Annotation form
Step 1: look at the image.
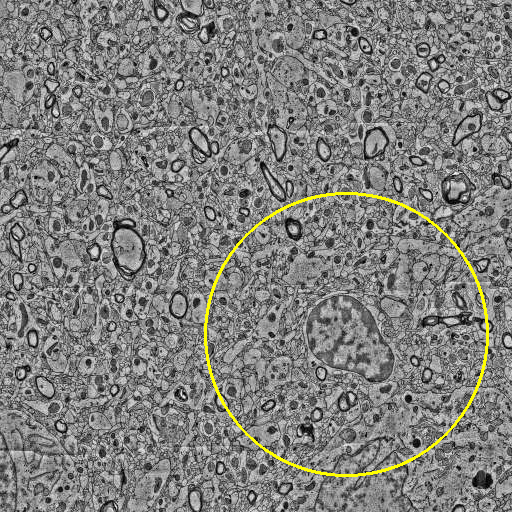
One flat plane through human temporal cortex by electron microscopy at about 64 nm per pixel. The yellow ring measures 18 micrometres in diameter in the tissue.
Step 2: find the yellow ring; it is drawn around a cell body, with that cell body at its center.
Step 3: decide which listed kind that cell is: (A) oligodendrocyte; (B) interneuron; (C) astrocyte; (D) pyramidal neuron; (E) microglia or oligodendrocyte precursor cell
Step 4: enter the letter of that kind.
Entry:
E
